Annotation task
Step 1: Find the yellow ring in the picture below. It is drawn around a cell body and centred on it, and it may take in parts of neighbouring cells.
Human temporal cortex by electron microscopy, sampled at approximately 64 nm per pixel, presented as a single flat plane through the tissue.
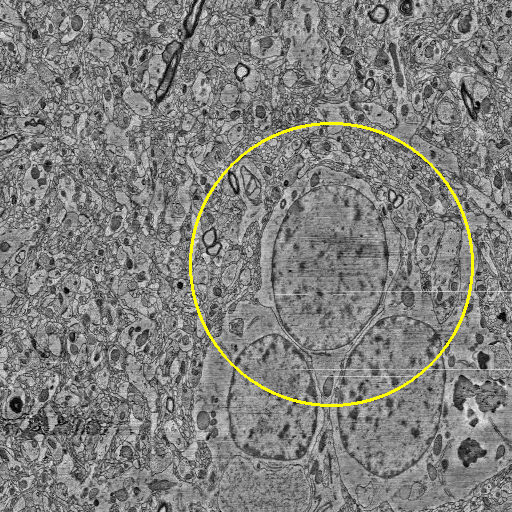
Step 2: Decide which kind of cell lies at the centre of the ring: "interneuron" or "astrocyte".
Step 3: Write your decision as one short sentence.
The kind of cell at the ring's centre is an astrocyte.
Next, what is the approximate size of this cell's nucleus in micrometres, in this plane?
About 11 by 7 micrometres; in this plane the nucleus is clearly longer than it is wide.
